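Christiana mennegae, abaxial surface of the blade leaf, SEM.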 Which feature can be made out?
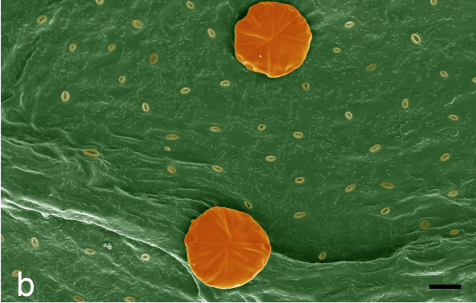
Stoma.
